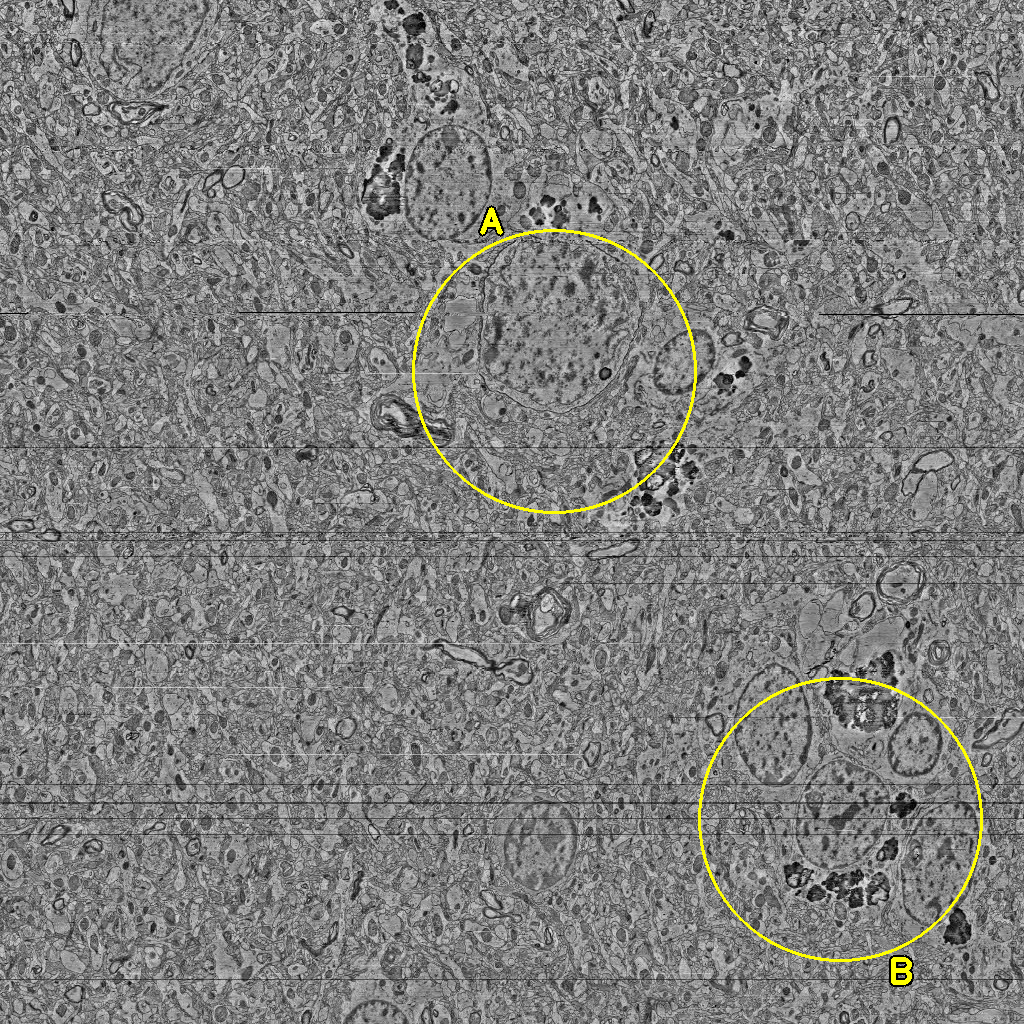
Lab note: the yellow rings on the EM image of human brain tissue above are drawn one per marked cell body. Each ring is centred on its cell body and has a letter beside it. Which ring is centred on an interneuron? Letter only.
A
